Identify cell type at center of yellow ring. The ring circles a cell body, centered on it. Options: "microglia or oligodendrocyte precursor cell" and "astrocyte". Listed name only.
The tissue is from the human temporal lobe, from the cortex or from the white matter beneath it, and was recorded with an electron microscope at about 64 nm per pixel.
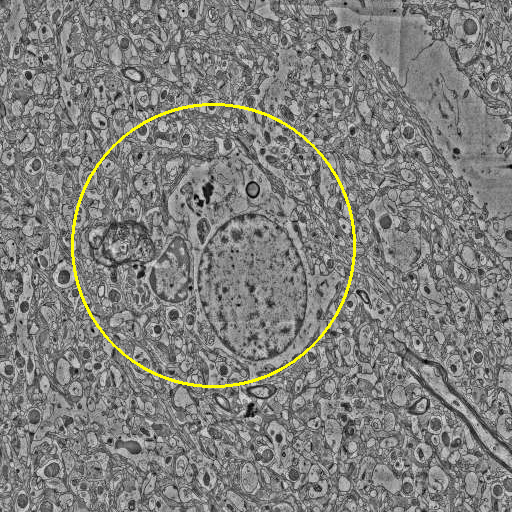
microglia or oligodendrocyte precursor cell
